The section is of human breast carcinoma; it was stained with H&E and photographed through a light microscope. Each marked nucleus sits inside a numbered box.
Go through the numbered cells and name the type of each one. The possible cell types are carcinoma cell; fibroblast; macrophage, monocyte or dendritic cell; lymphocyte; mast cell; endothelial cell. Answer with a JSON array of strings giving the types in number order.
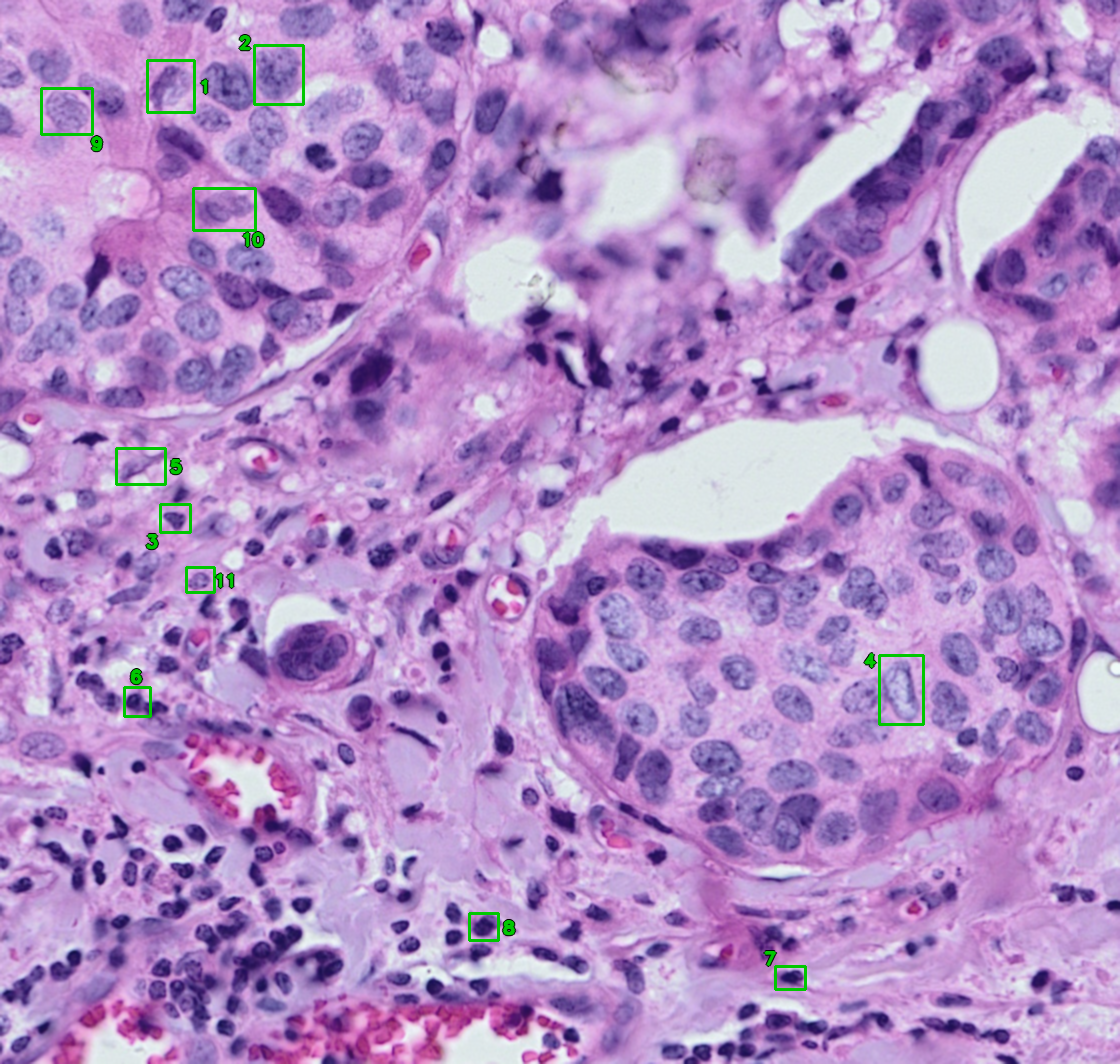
["carcinoma cell", "carcinoma cell", "lymphocyte", "carcinoma cell", "fibroblast", "lymphocyte", "lymphocyte", "lymphocyte", "carcinoma cell", "carcinoma cell", "mast cell"]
